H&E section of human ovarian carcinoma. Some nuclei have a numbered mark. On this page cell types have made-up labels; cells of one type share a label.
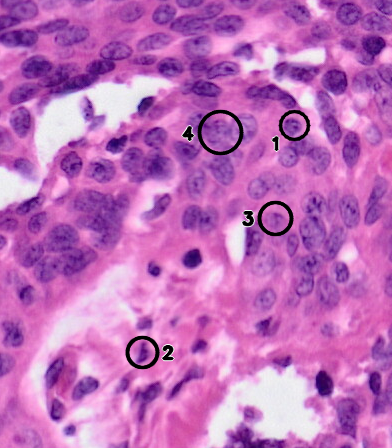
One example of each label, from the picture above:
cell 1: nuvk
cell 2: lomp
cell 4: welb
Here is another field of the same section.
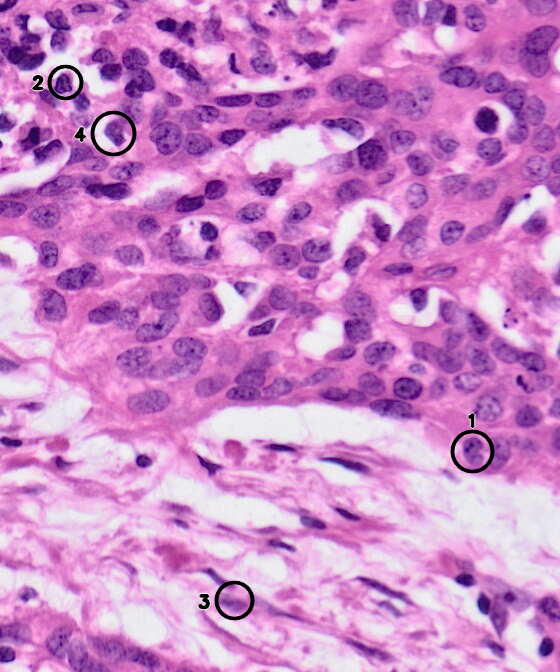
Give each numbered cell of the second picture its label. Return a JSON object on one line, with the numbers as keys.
{"1": "nuvk", "2": "welb", "3": "lomp", "4": "welb"}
